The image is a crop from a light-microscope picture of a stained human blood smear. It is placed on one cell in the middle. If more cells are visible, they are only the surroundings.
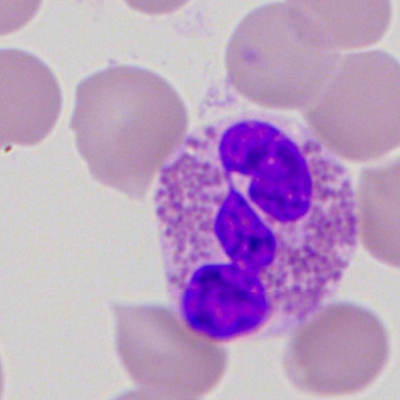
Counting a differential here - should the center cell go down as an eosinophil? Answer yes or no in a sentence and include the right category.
Yes, this central cell is an eosinophil.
